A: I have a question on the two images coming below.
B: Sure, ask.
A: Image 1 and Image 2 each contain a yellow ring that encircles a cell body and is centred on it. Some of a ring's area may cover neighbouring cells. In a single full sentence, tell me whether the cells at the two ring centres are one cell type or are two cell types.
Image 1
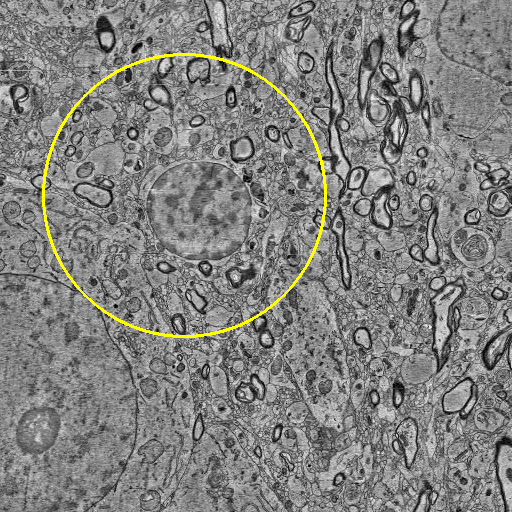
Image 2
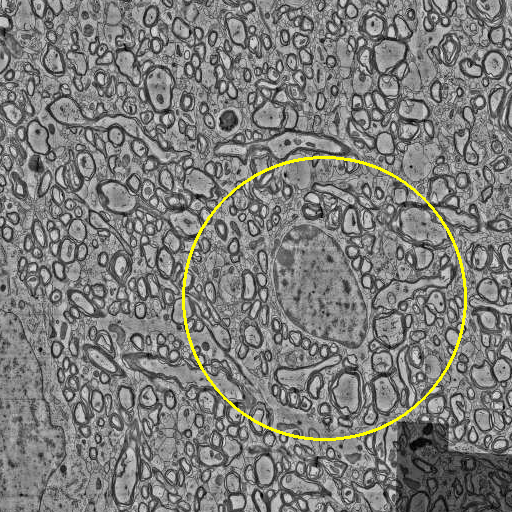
As for the ring-centre cells, the one in Image 1 and the one in Image 2 are one cell type.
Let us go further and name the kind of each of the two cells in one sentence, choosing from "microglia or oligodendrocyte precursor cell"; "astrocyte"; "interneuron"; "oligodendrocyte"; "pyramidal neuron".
In both pictures the ring is centred on a microglial cell or oligodendrocyte precursor cell.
